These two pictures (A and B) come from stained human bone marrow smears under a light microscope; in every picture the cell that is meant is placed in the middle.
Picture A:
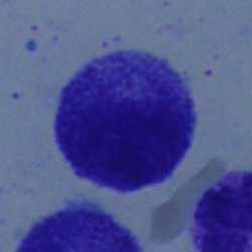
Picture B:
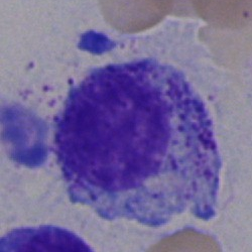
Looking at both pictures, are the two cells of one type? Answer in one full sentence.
Yes, they are the same type: both are myelocytes.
